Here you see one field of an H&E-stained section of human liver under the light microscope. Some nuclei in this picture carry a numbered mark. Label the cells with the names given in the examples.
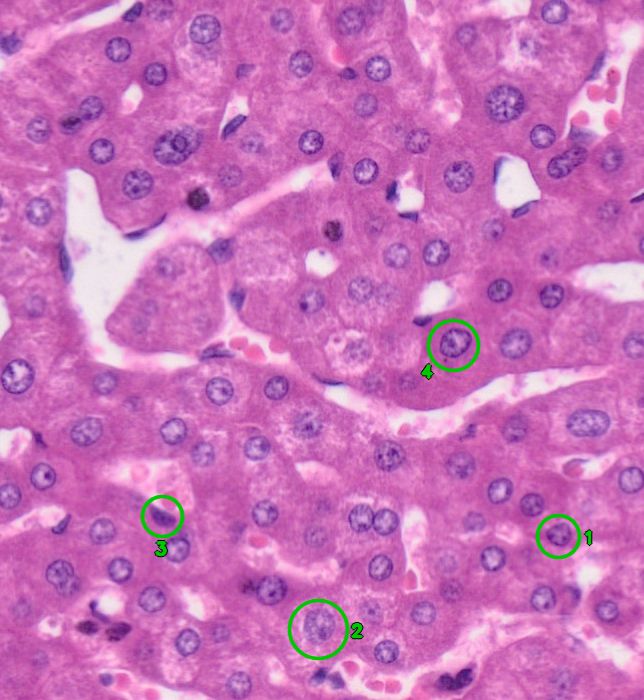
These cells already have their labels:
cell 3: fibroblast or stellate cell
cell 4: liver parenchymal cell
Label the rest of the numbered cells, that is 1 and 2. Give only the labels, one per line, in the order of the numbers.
liver parenchymal cell
liver parenchymal cell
